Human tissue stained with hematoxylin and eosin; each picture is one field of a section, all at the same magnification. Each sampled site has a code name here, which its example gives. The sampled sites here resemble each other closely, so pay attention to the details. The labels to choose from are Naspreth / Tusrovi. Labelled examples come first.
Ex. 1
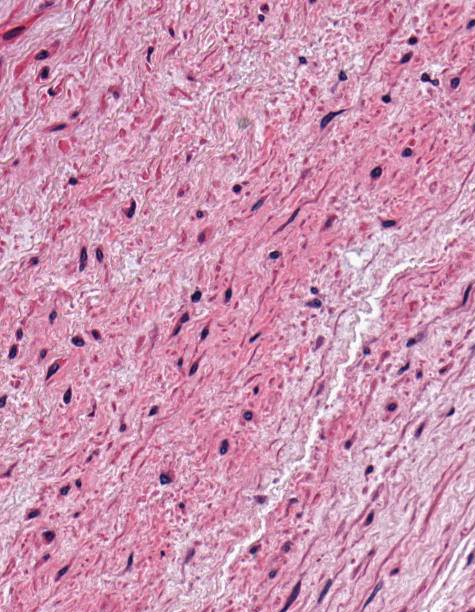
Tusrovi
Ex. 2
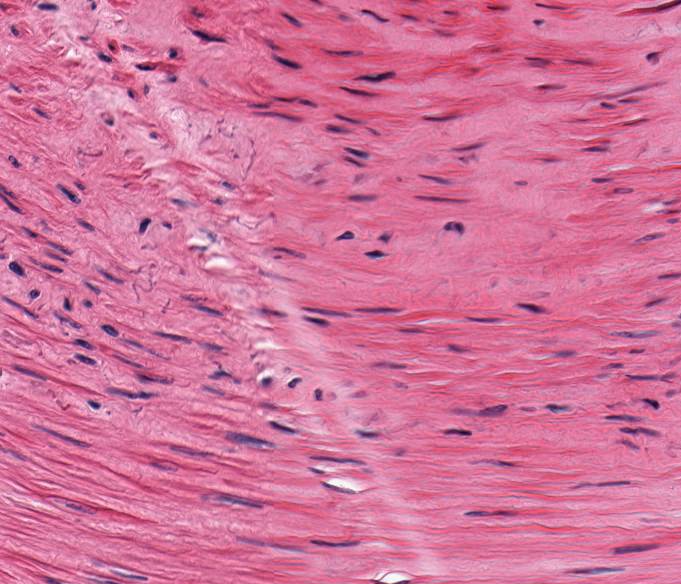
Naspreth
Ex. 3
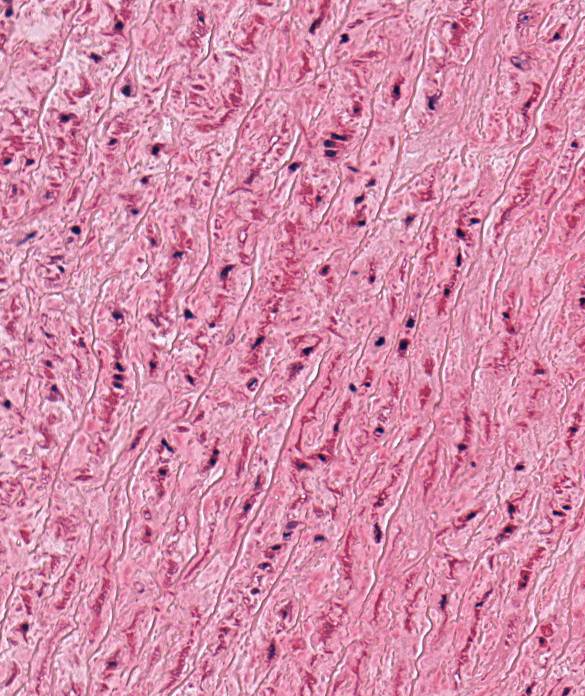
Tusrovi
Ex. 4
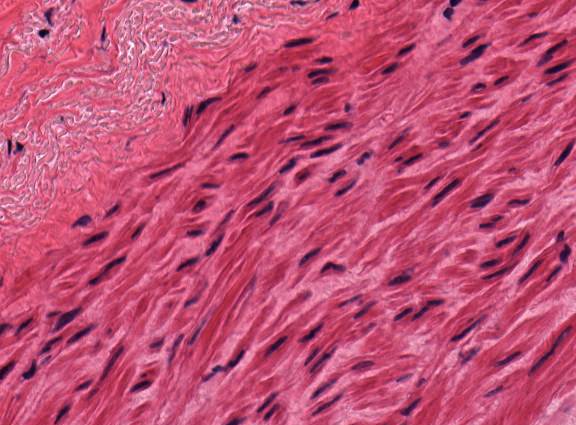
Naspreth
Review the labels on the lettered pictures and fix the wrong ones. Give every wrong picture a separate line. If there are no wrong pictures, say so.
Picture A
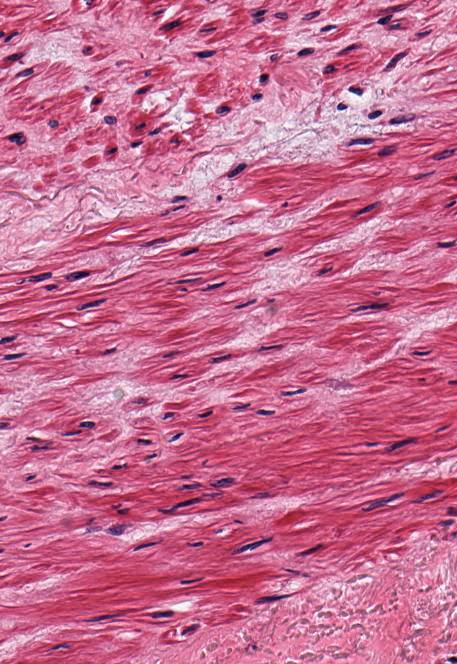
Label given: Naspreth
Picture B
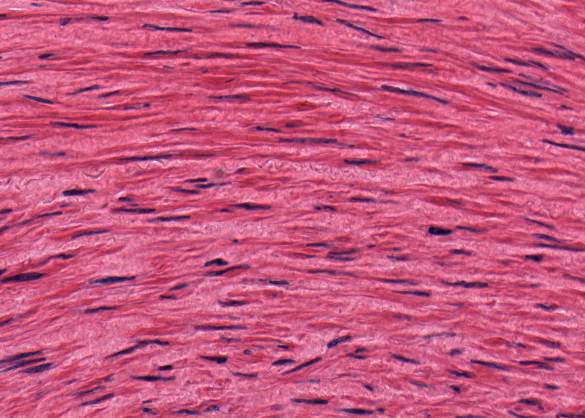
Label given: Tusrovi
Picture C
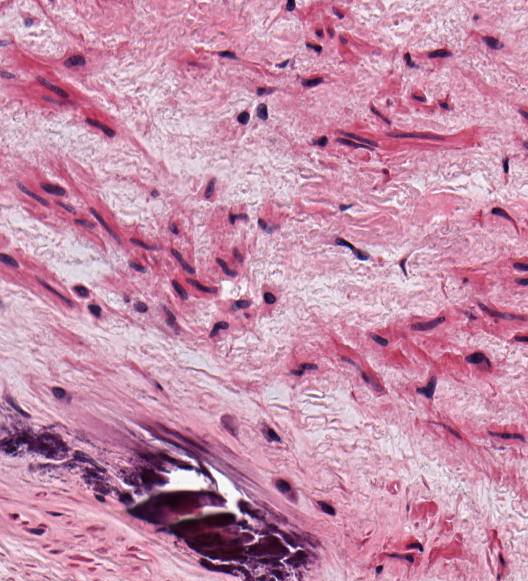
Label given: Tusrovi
Wrong: B (Tusrovi); correct: Naspreth
Wrong: C (Tusrovi); correct: Naspreth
